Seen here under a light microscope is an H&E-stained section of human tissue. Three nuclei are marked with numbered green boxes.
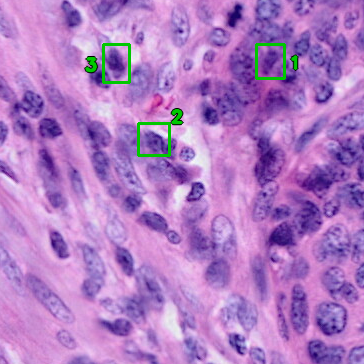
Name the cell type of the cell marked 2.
lymphocyte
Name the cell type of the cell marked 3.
lymphocyte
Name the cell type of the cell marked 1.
squamous carcinoma cell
